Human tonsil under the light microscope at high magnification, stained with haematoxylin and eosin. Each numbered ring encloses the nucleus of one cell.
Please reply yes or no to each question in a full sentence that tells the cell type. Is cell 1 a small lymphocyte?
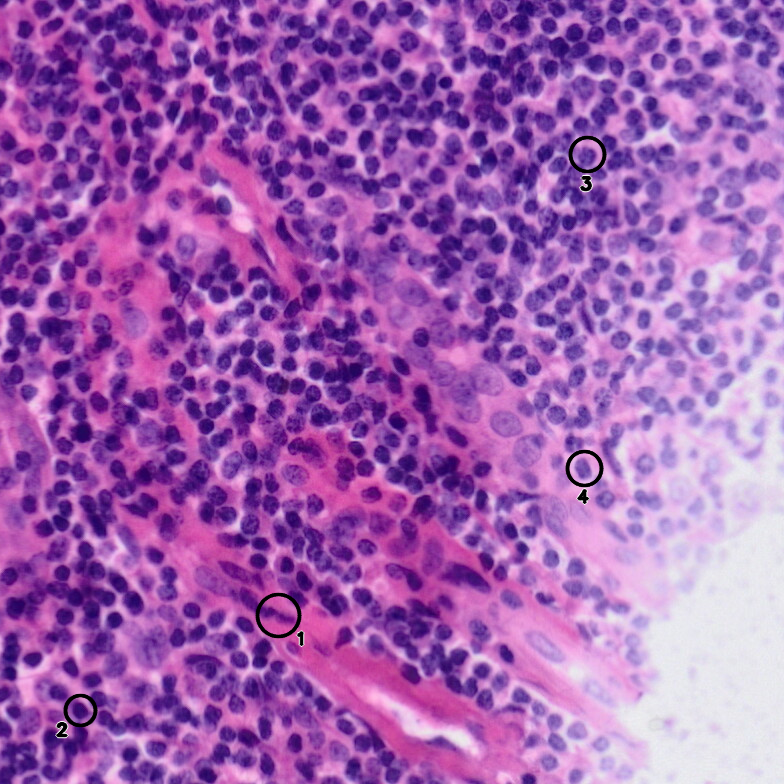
No, the cell at marker 1 is not a small lymphocyte; it is an endothelial cell.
